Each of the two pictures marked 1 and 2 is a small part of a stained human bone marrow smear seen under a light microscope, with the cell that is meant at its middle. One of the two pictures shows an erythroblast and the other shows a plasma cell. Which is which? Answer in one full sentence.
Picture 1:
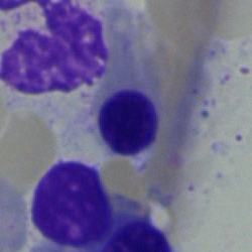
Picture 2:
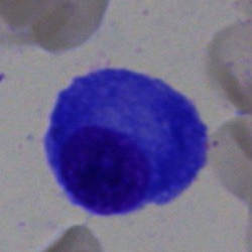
Picture 1 is of an erythroblast, and picture 2 is of a plasma cell.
